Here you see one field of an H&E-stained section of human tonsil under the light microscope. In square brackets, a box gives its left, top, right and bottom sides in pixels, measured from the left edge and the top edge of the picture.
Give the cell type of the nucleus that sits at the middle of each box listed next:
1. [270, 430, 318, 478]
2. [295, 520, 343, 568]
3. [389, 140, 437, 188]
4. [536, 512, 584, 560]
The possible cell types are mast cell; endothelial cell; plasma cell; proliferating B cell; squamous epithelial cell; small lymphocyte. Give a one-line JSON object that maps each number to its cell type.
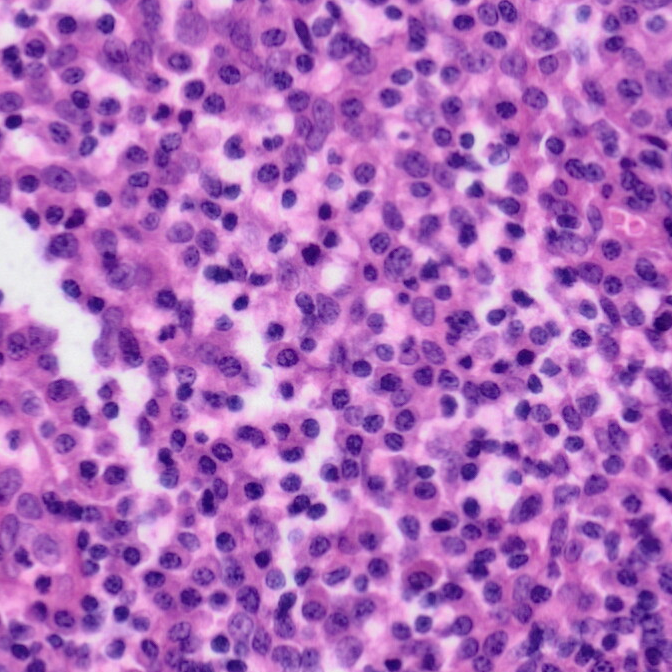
{"1": "plasma cell", "2": "plasma cell", "3": "squamous epithelial cell", "4": "squamous epithelial cell"}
